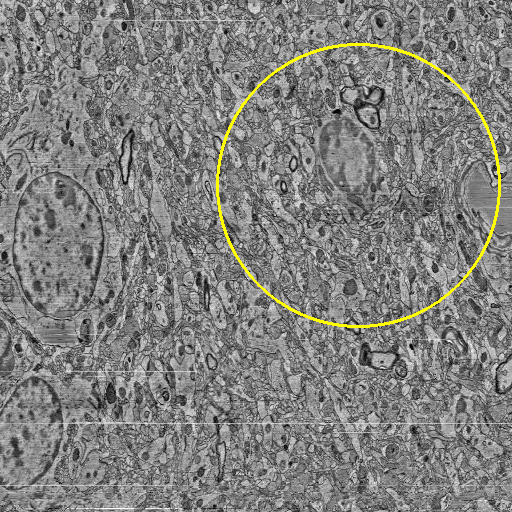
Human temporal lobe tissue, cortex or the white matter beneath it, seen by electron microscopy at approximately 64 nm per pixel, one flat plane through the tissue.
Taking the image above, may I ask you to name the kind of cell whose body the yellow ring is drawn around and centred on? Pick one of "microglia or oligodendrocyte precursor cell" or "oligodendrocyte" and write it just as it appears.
oligodendrocyte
